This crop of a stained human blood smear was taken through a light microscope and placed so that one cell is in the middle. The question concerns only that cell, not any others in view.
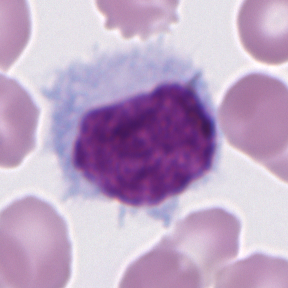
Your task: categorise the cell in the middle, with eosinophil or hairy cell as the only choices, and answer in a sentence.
Among the cells in view, the one in the middle is a hairy cell.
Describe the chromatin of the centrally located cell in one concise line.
No coarse chromatin clumps are present; the pattern is fine.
